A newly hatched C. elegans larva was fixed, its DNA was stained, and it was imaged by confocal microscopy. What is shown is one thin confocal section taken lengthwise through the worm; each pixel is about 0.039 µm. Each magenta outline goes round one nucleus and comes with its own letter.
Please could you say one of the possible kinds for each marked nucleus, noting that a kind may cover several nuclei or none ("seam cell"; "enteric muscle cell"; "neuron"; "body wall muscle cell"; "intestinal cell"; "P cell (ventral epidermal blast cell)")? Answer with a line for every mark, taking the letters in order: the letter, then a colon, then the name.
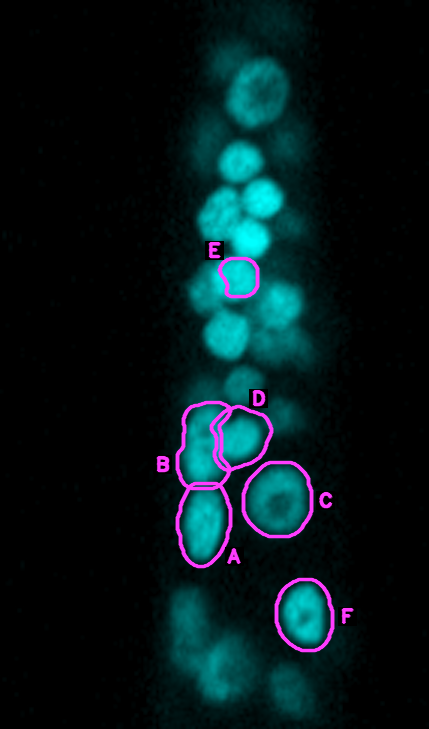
A: enteric muscle cell
B: P cell (ventral epidermal blast cell)
C: intestinal cell
D: enteric muscle cell
E: neuron
F: body wall muscle cell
